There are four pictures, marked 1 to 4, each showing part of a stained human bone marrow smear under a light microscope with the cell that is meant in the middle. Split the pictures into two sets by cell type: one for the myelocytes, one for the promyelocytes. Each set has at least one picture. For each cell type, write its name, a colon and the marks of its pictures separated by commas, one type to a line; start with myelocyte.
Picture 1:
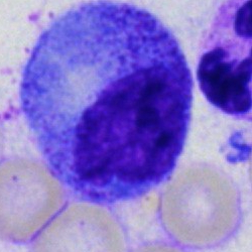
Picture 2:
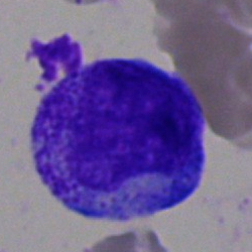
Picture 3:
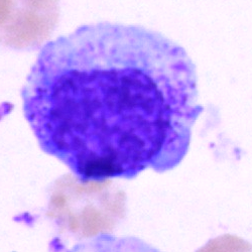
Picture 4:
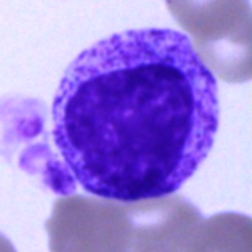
myelocyte: 2, 4
promyelocyte: 1, 3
